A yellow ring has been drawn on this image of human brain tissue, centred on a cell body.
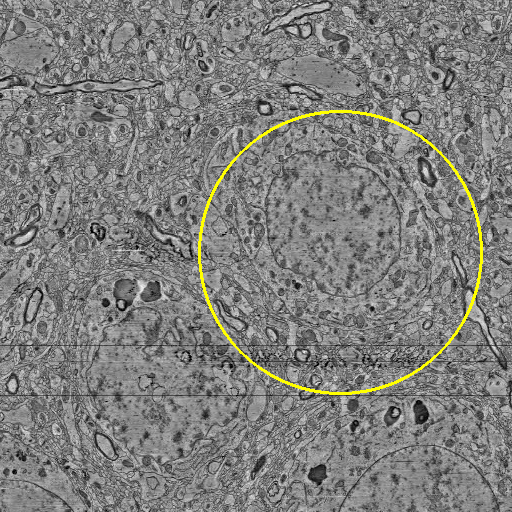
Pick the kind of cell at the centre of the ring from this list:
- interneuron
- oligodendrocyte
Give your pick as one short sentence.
The centre of the ring holds an interneuron.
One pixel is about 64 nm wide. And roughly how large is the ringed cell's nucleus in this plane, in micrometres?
In this plane, the nucleus of the cell at the centre of the ring measures about 10 by 9 micrometres.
